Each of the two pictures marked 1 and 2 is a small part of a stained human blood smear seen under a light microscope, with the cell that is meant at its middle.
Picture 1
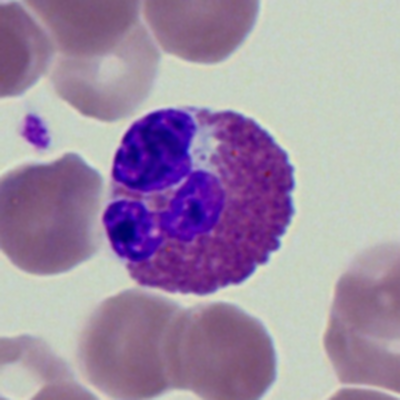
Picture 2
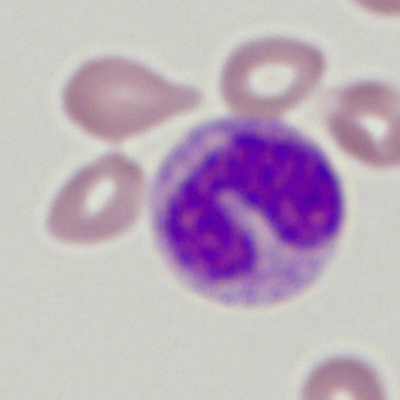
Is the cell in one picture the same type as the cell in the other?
no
